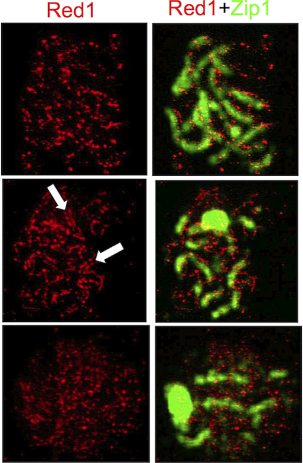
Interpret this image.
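The red staining is broken into many small dots rather than continuous lines. In places the dots line up in rows, and some rows run side by side in parallel pairs; arrows mark such places. The green staining appears as broader, smoother, curving bands, and the red dots lie along and beside these bands. Between the bands, red dots are also scattered more loosely.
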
